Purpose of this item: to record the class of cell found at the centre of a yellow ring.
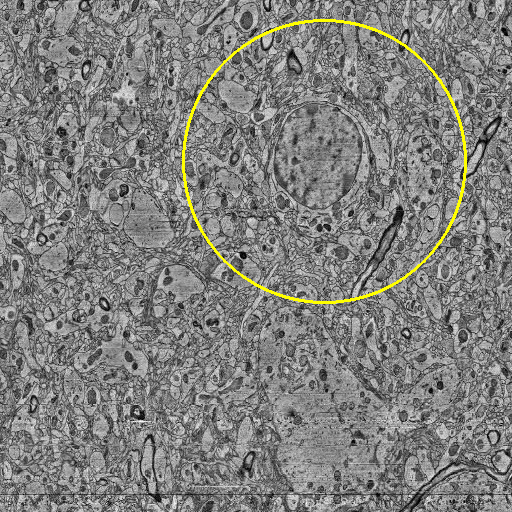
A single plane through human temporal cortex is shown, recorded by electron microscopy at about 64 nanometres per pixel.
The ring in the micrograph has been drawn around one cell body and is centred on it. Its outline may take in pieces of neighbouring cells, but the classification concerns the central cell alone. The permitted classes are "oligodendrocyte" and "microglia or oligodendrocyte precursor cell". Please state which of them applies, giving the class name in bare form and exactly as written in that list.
microglia or oligodendrocyte precursor cell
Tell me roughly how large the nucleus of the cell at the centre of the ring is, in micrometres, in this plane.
In this plane the nucleus is about 7 micrometres by 5.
